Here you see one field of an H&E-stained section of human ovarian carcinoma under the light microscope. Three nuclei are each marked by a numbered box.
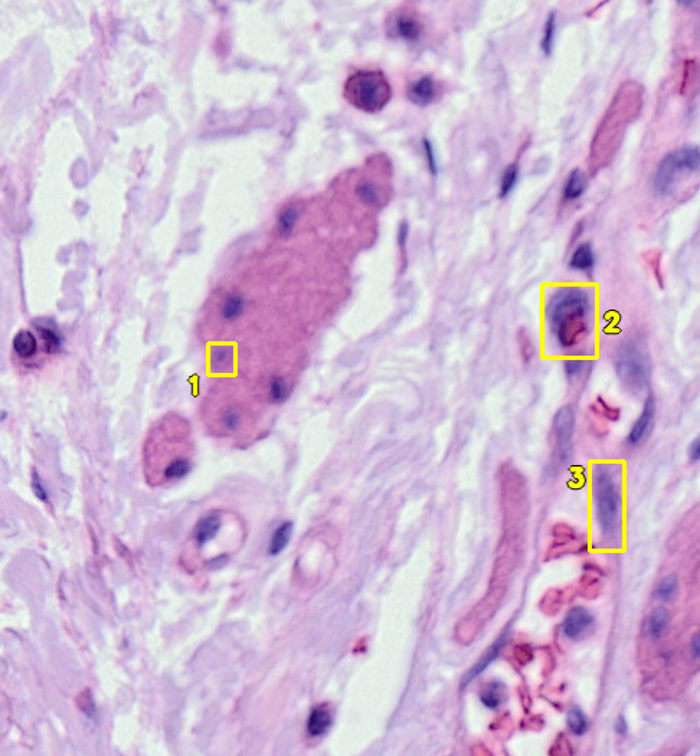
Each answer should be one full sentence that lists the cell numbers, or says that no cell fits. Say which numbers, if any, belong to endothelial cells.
The cells numbered 2 and 3 are, by type, endothelial cells.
